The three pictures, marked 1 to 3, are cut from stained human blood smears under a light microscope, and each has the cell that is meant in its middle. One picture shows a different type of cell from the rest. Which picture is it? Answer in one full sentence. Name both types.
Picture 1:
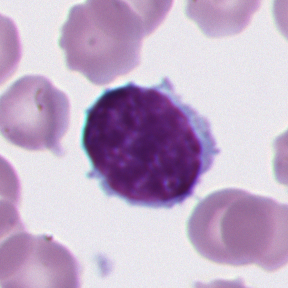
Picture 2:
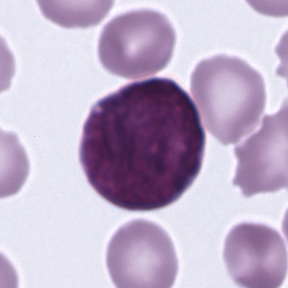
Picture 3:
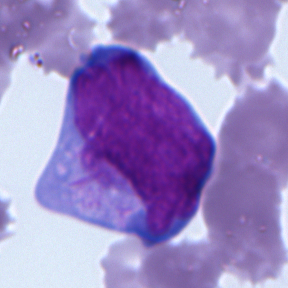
The others show myeloblasts, but picture 1 shows a typical lymphocyte.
